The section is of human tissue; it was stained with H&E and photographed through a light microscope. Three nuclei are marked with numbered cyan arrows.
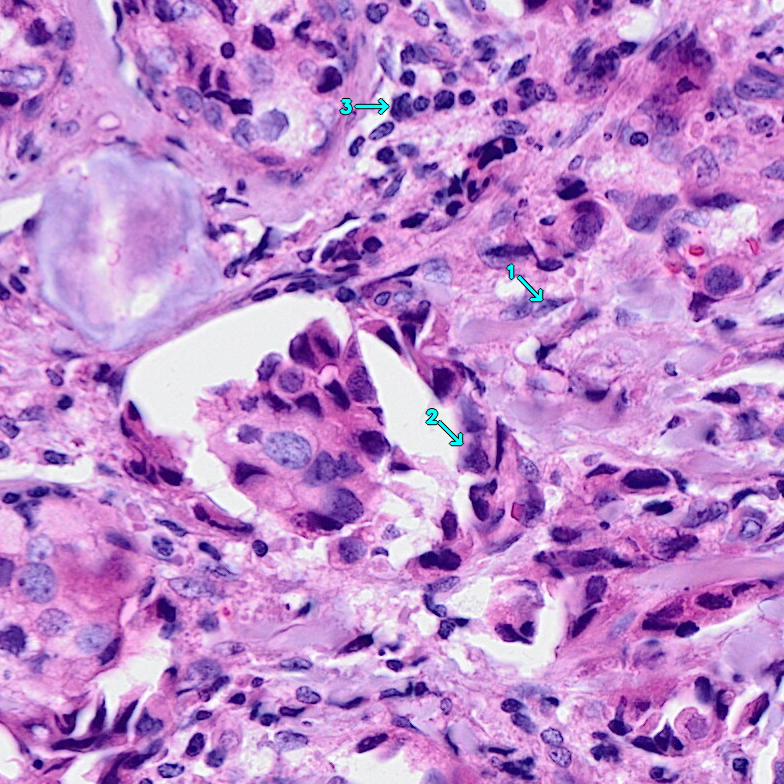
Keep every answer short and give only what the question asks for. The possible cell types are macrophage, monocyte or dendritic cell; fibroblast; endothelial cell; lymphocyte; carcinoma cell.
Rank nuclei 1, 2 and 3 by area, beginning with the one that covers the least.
1, 3, 2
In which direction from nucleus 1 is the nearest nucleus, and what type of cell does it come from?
a fibroblast to the left of nucleus 1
